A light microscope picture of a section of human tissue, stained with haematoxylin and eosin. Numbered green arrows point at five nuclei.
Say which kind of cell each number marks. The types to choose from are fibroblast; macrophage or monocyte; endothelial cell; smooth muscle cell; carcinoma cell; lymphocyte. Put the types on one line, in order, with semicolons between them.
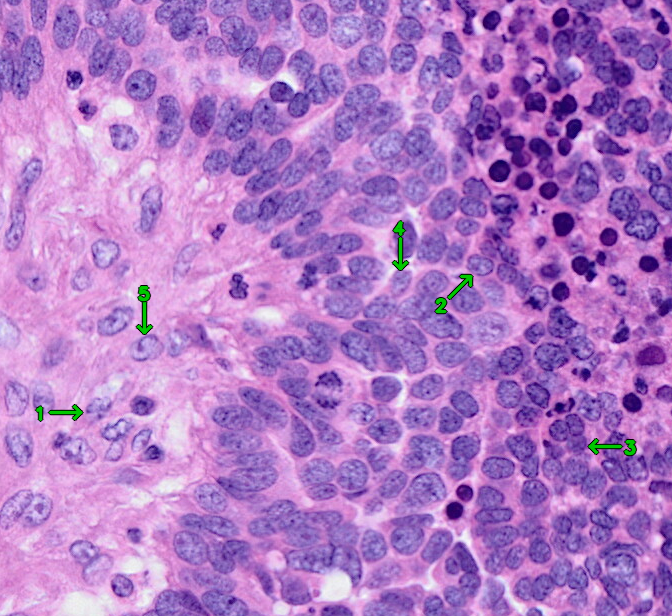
fibroblast; carcinoma cell; carcinoma cell; carcinoma cell; fibroblast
